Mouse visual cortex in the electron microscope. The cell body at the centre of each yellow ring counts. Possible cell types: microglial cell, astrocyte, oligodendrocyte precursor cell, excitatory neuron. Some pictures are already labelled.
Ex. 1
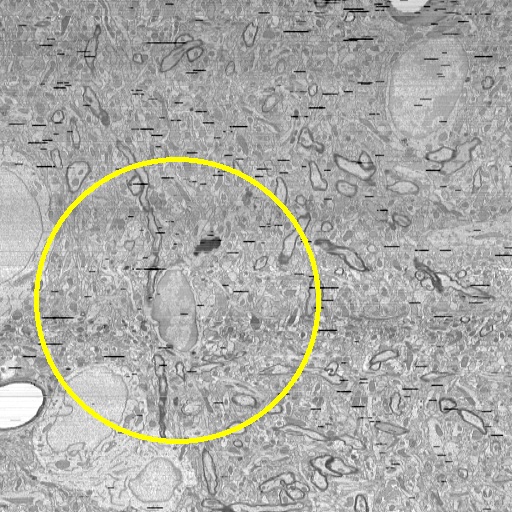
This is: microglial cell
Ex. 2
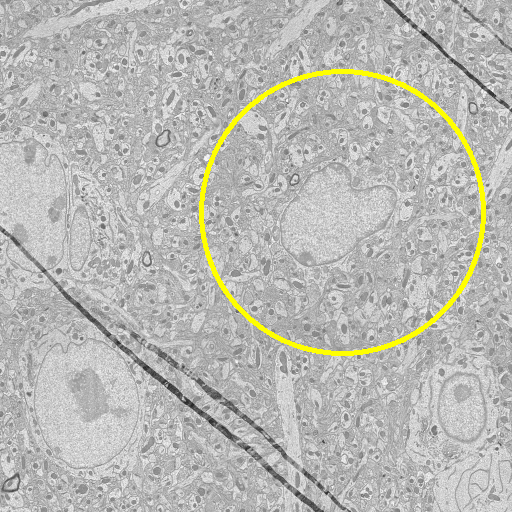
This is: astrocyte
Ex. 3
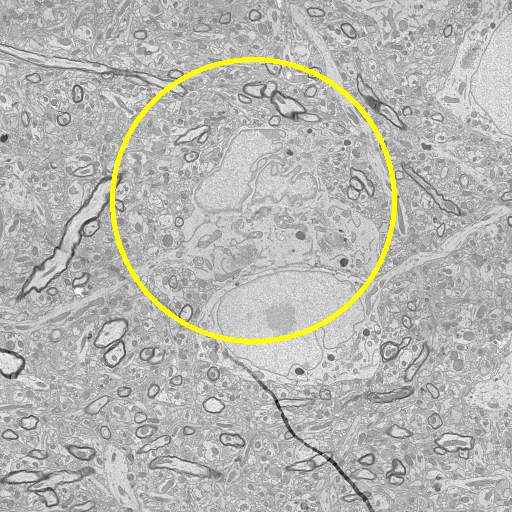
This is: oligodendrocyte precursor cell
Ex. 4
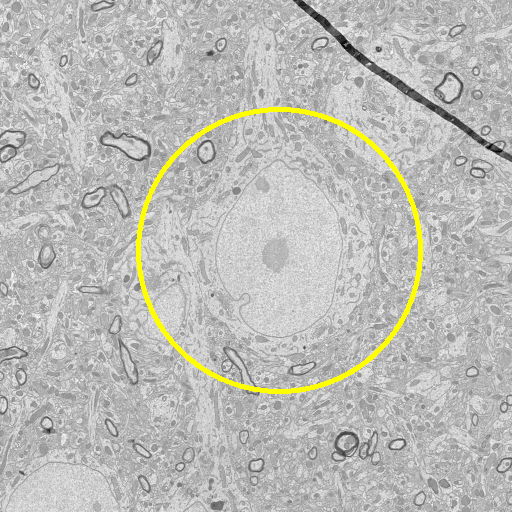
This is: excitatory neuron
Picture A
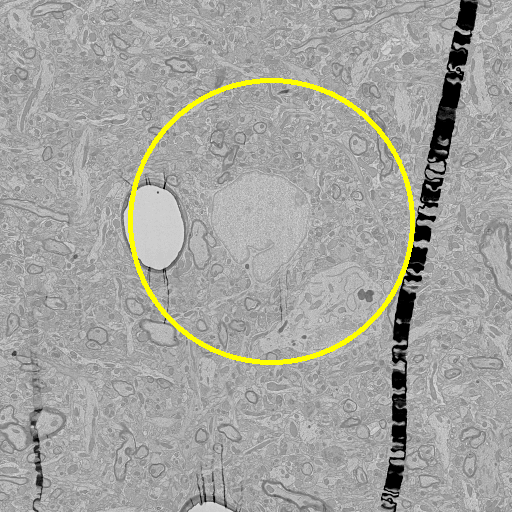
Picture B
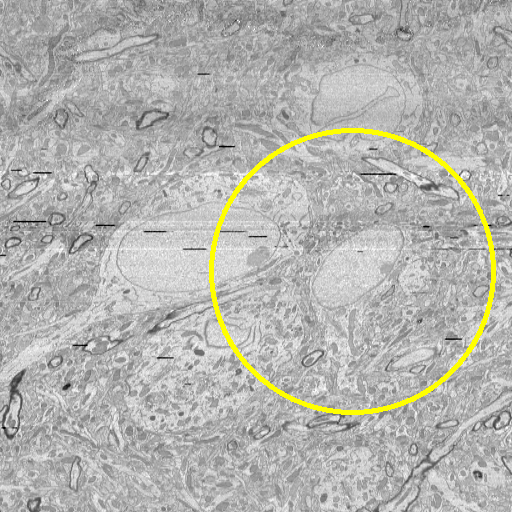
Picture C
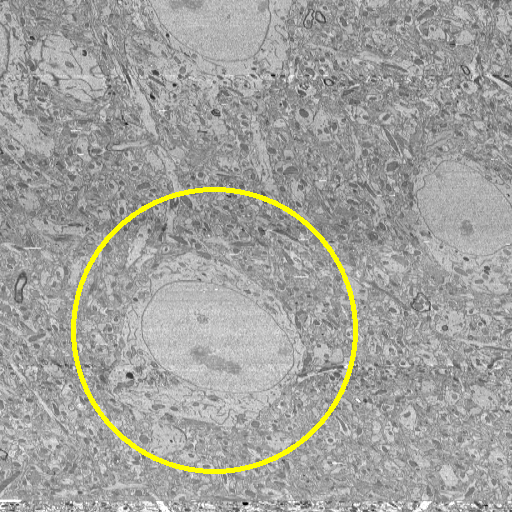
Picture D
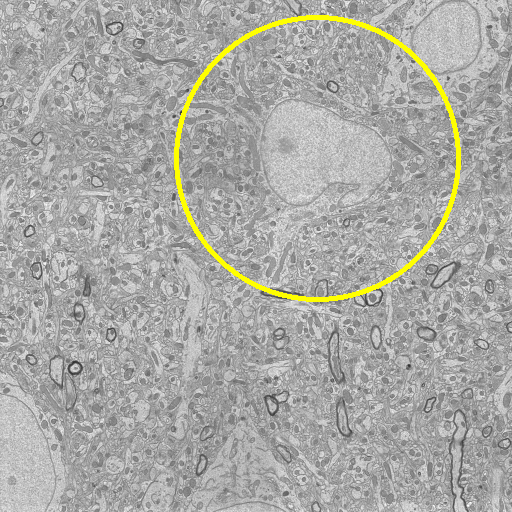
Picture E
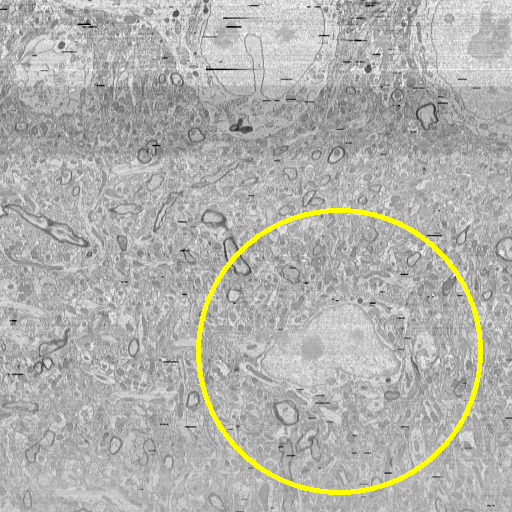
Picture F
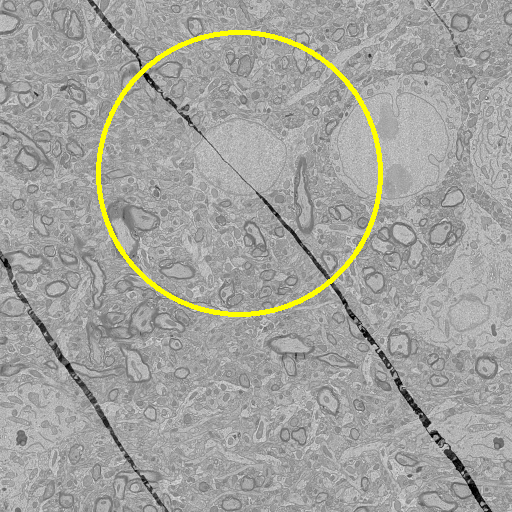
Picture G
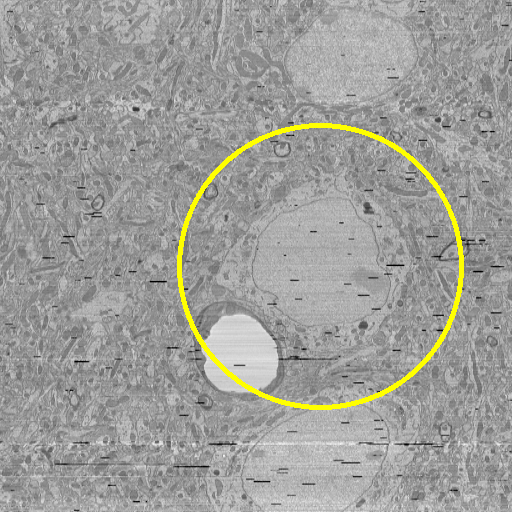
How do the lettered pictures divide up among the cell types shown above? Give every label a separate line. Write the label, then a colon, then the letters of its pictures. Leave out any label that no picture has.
astrocyte: B, D, F
oligodendrocyte precursor cell: A, E
excitatory neuron: C, G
